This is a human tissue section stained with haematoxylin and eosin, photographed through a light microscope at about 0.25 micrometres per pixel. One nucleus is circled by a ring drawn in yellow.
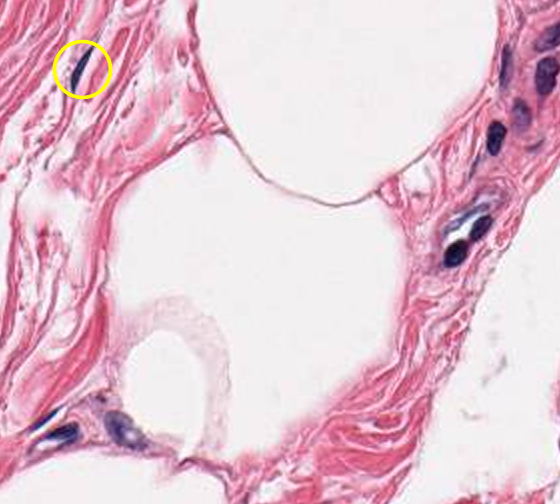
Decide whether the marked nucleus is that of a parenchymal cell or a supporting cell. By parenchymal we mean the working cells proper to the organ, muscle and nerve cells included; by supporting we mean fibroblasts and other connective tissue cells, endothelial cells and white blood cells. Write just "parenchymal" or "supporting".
supporting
